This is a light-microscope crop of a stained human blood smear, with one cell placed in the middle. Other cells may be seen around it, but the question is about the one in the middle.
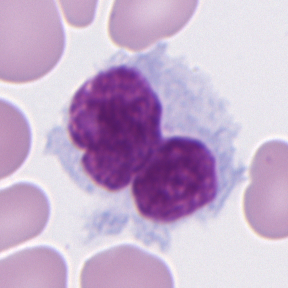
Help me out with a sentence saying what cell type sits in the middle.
The cell centered in this field of view is a hairy cell.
